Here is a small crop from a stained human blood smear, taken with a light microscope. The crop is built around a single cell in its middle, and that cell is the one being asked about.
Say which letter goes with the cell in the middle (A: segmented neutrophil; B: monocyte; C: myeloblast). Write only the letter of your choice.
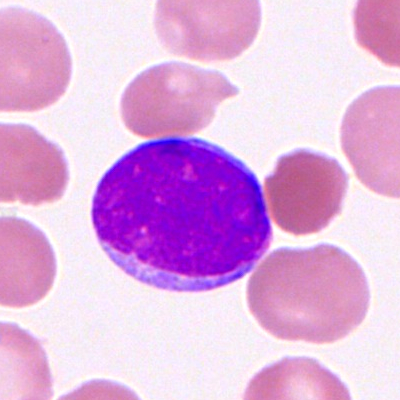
C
